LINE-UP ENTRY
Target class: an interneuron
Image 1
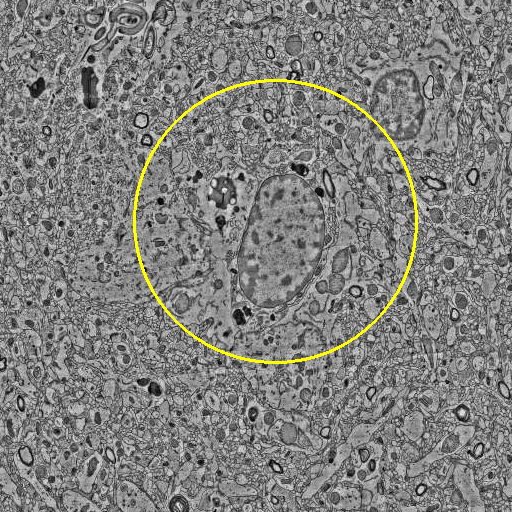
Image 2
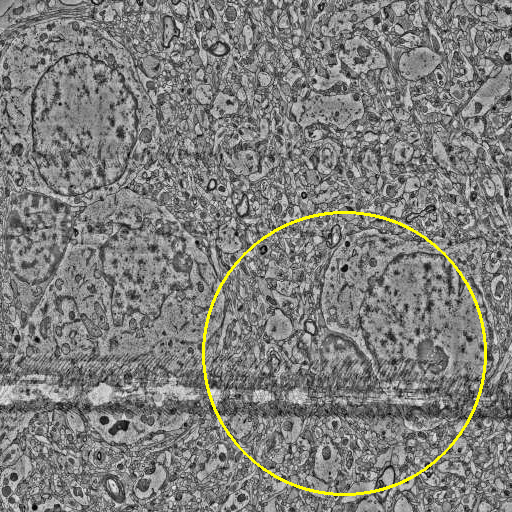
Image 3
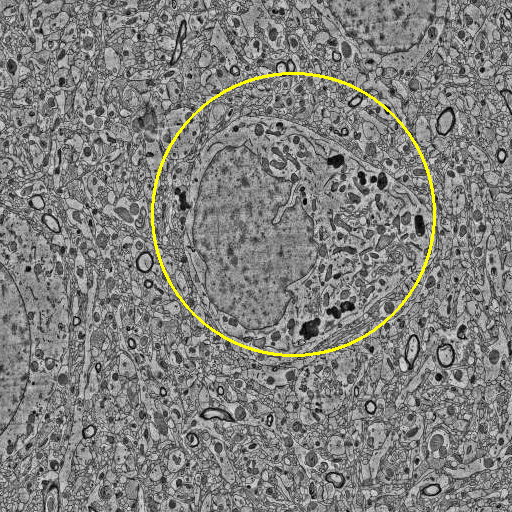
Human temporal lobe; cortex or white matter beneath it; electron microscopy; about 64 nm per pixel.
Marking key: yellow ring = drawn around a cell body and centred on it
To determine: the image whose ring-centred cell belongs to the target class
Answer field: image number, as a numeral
3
